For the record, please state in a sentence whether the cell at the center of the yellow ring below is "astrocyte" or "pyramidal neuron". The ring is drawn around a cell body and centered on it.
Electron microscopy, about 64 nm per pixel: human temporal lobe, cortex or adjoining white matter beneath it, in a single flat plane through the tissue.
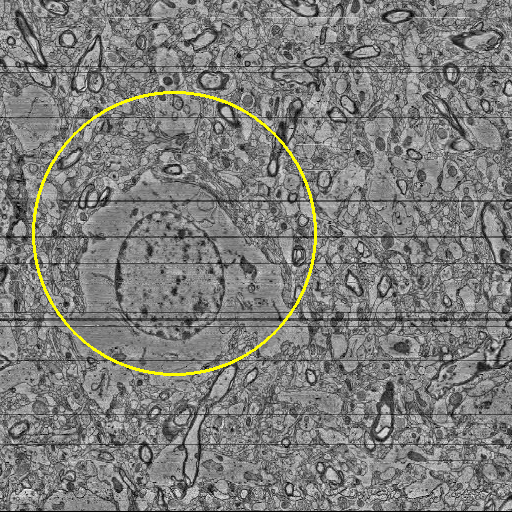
The cell at the ring's center is an astrocyte.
